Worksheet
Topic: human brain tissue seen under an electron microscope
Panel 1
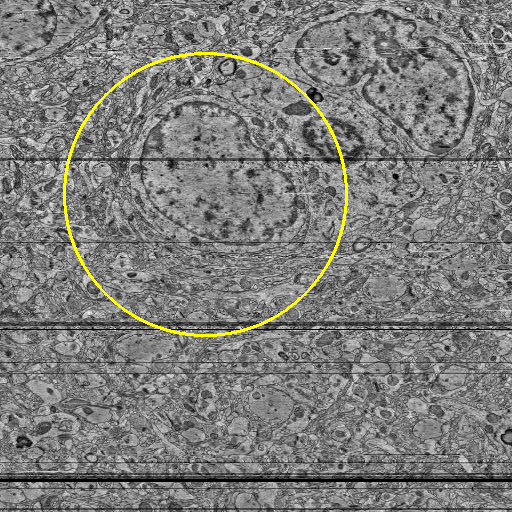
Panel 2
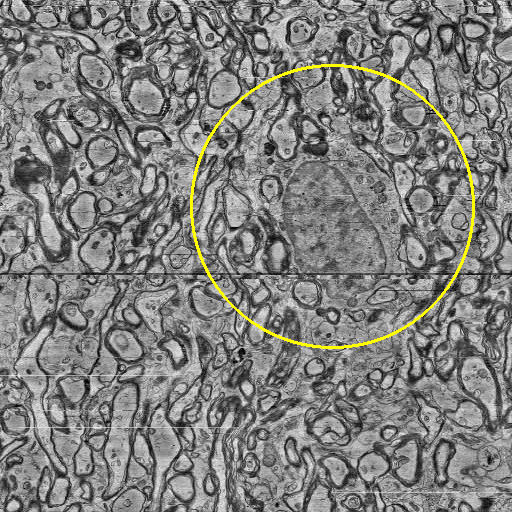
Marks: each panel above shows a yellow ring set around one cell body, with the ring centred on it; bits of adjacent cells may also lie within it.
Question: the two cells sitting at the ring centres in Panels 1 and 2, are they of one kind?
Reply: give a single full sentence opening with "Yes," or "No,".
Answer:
No, the two ring-centre cells in Panel 1 and Panel 2 are of two kinds.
